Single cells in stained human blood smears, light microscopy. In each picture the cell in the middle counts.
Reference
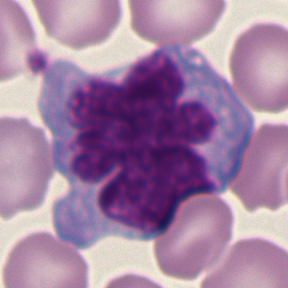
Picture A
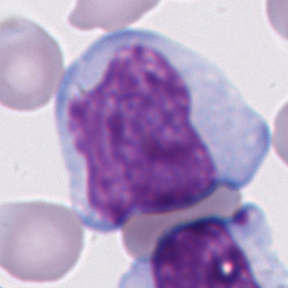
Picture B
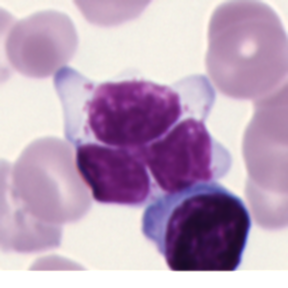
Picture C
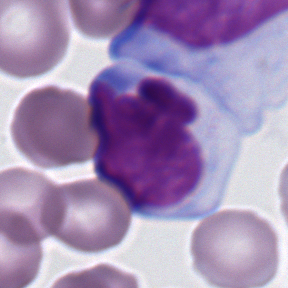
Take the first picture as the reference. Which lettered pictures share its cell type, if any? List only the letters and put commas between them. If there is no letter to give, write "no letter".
no letter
